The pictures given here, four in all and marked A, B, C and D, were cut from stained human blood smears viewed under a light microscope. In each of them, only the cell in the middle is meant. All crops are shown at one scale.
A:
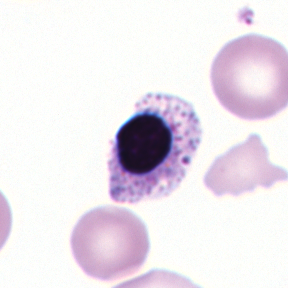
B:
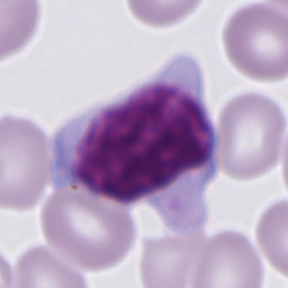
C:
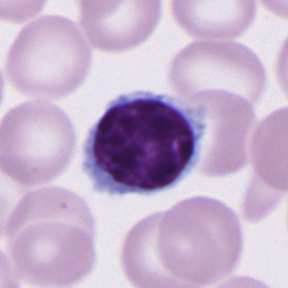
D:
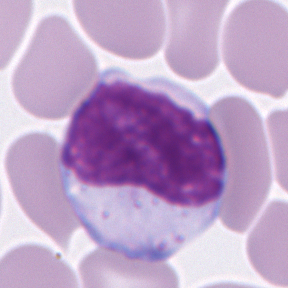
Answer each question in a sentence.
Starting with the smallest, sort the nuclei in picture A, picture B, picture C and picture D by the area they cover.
Going up, they run A, C, B, D.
